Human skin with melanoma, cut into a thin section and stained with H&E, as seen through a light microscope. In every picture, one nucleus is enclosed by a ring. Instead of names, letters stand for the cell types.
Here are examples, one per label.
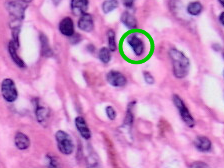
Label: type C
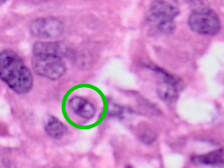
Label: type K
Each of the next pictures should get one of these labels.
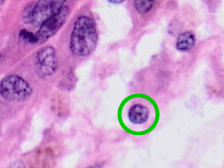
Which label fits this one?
type C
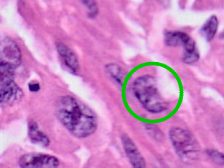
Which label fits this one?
type K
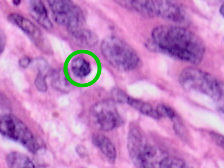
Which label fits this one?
type C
